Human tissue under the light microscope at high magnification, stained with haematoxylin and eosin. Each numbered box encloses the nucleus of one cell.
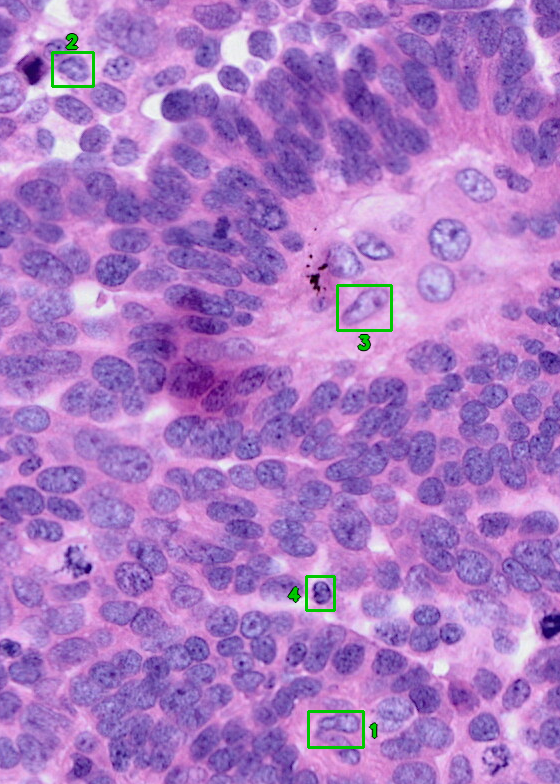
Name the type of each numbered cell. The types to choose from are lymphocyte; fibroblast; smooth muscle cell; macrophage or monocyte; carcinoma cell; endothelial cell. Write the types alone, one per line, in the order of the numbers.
fibroblast
macrophage or monocyte
fibroblast
lymphocyte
